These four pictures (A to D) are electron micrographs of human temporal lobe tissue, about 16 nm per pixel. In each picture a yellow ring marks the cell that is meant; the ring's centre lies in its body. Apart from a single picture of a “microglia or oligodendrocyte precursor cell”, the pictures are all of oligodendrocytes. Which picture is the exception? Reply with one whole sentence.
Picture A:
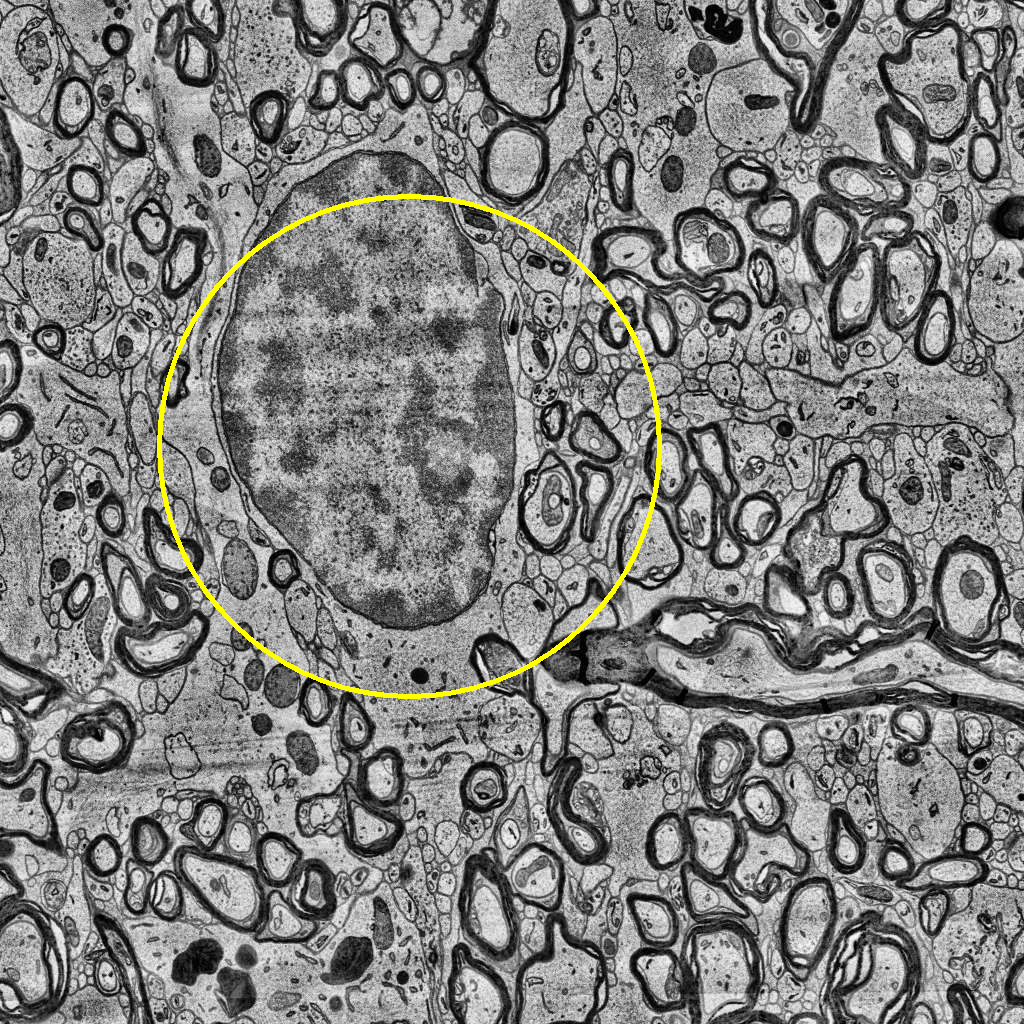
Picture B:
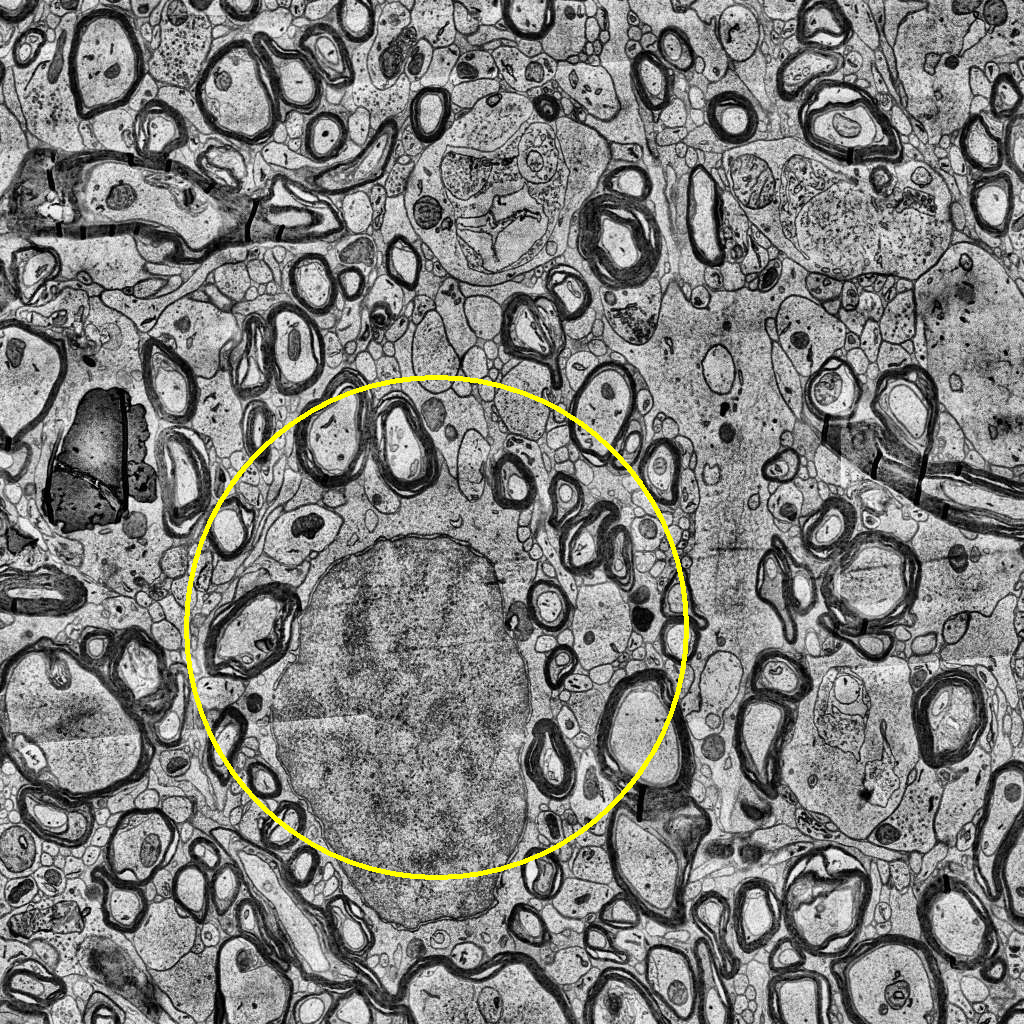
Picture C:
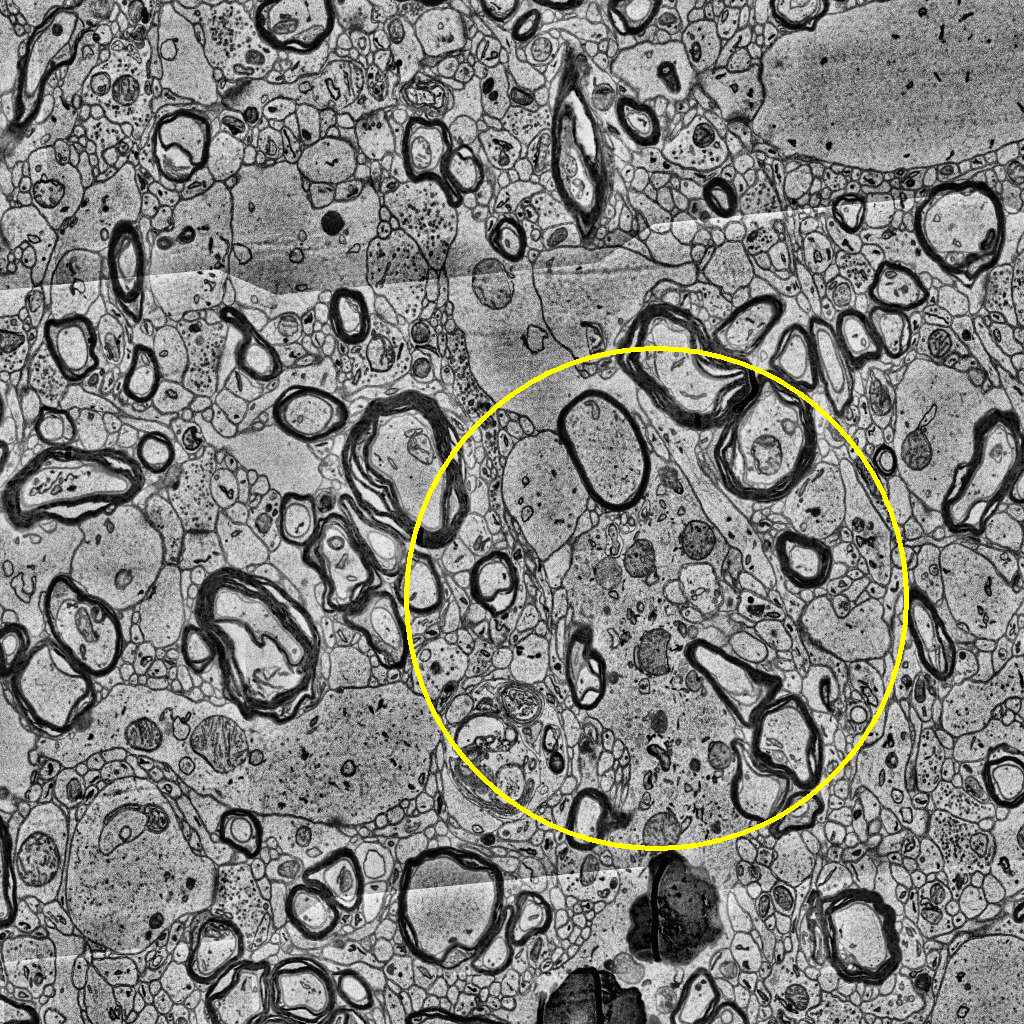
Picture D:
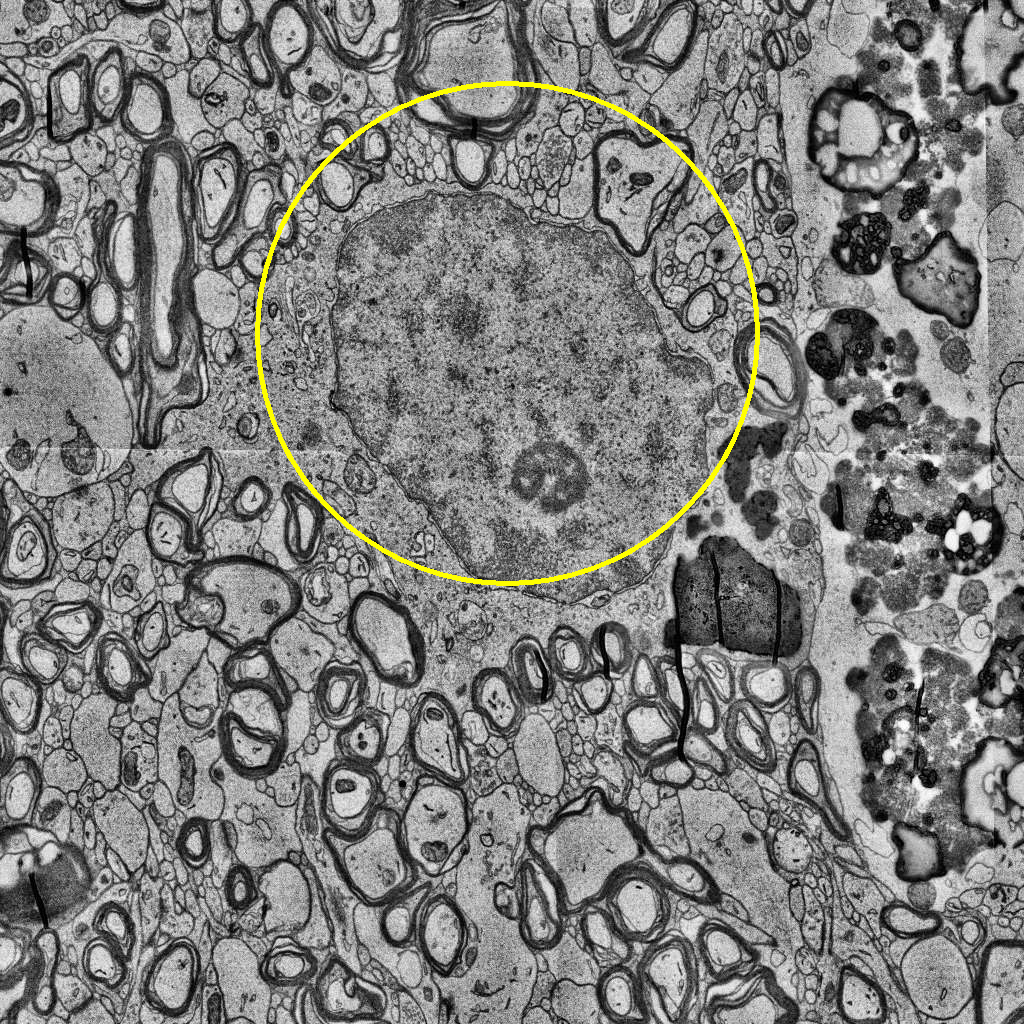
The cell in picture A is the “microglia or oligodendrocyte precursor cell”.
